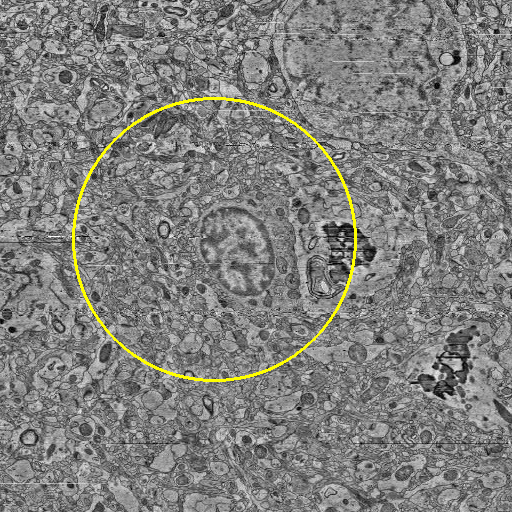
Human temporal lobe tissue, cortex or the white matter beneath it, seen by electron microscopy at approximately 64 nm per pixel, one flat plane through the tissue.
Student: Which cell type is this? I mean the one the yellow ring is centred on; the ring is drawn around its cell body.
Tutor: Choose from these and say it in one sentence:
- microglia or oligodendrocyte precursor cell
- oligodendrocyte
The cell the ring is centred on is an oligodendrocyte.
